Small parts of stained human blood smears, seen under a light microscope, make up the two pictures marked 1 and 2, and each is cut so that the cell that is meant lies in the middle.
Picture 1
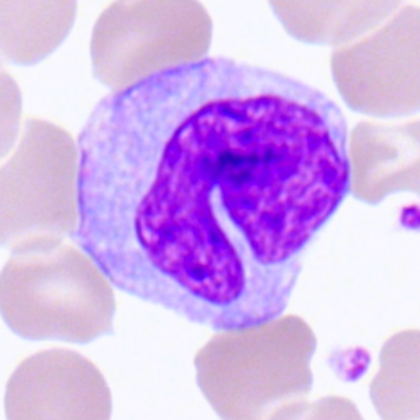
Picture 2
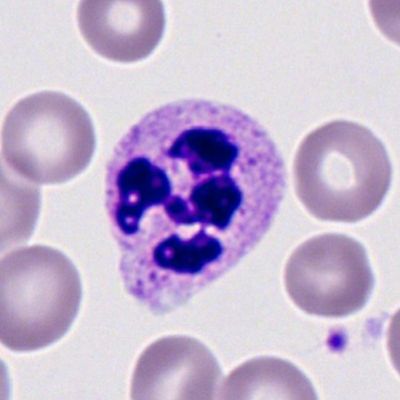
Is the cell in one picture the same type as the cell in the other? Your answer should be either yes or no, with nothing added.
no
